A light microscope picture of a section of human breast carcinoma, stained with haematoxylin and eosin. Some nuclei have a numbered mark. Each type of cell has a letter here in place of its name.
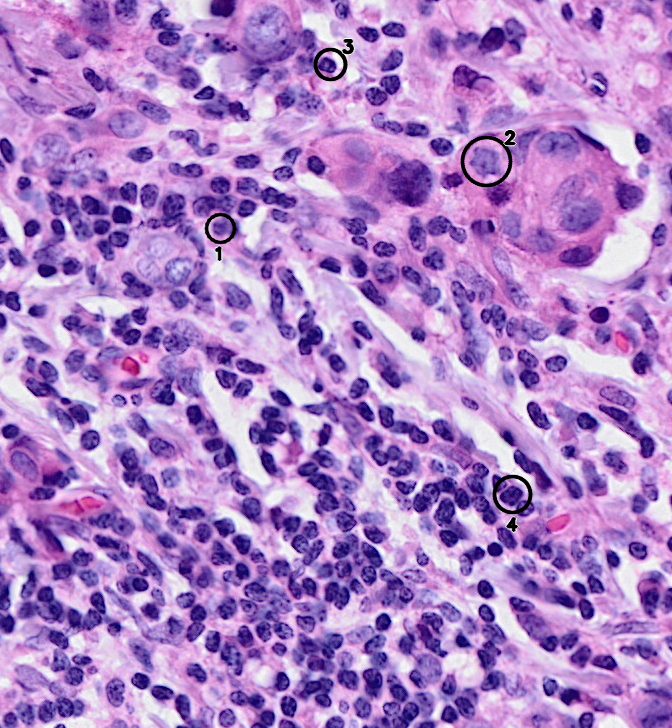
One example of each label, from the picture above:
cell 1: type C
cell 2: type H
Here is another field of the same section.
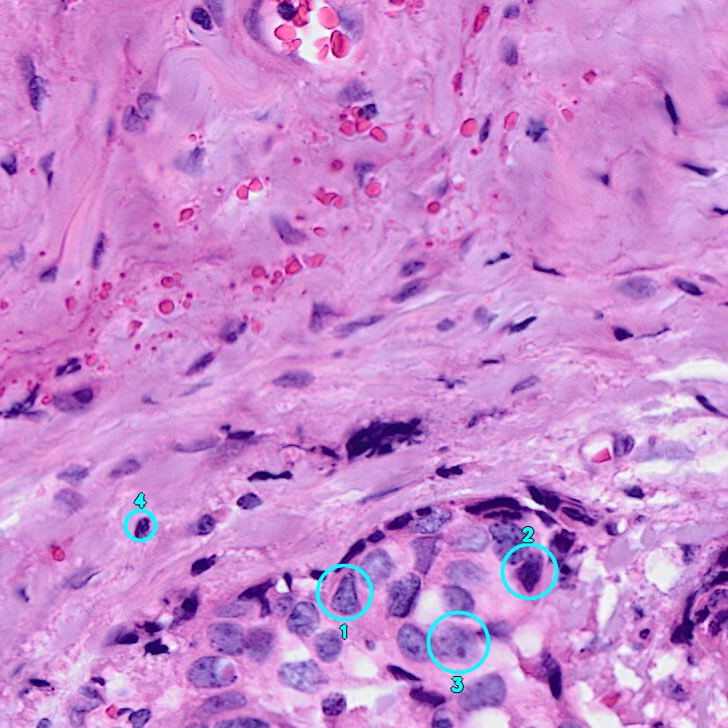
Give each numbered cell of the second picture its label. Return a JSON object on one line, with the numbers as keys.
{"1": "type H", "2": "type H", "3": "type H", "4": "type C"}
